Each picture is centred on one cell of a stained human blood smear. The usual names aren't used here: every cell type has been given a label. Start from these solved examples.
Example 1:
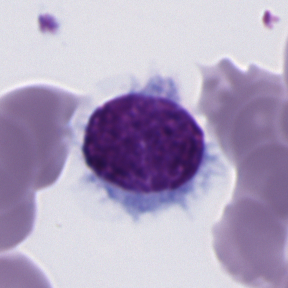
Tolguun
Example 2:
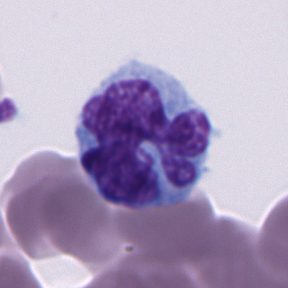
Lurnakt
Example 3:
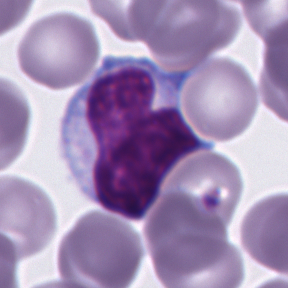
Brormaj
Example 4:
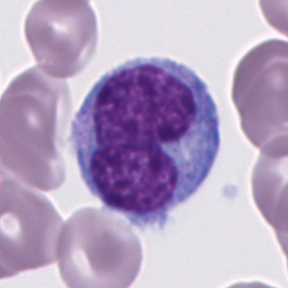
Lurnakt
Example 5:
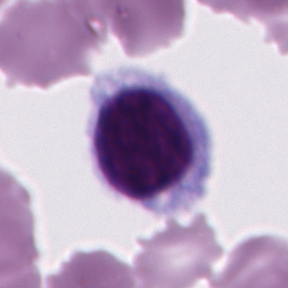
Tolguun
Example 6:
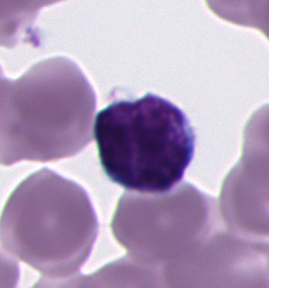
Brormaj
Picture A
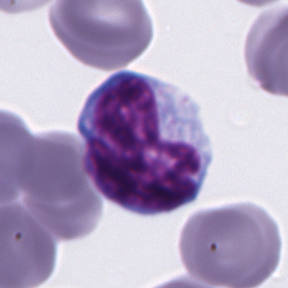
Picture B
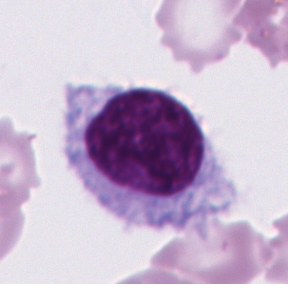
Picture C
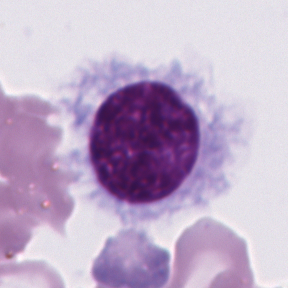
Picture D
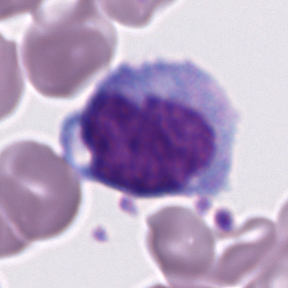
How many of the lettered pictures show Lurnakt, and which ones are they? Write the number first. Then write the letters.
1, namely D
